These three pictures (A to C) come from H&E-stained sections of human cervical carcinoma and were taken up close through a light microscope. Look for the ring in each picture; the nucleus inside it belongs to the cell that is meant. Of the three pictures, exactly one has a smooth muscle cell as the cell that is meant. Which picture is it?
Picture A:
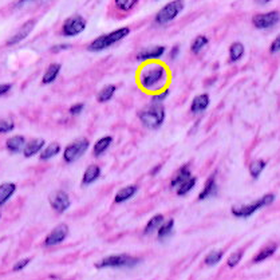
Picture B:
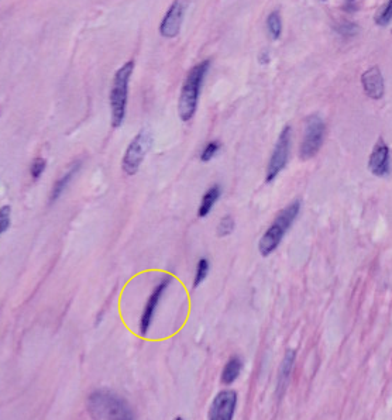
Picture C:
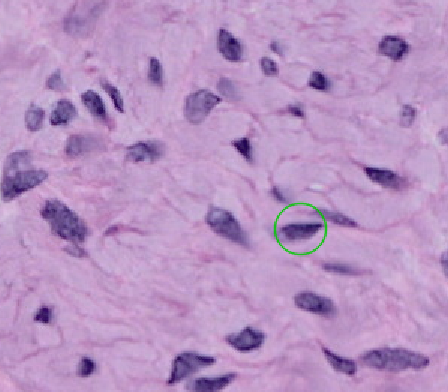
A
